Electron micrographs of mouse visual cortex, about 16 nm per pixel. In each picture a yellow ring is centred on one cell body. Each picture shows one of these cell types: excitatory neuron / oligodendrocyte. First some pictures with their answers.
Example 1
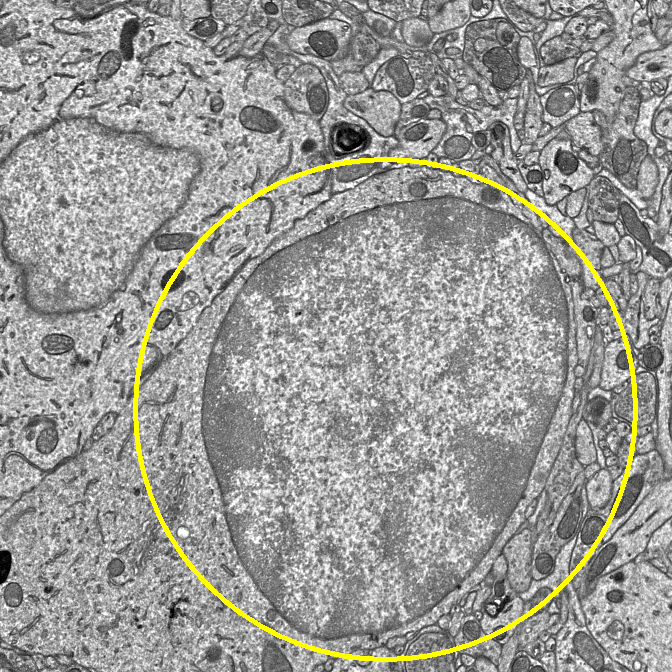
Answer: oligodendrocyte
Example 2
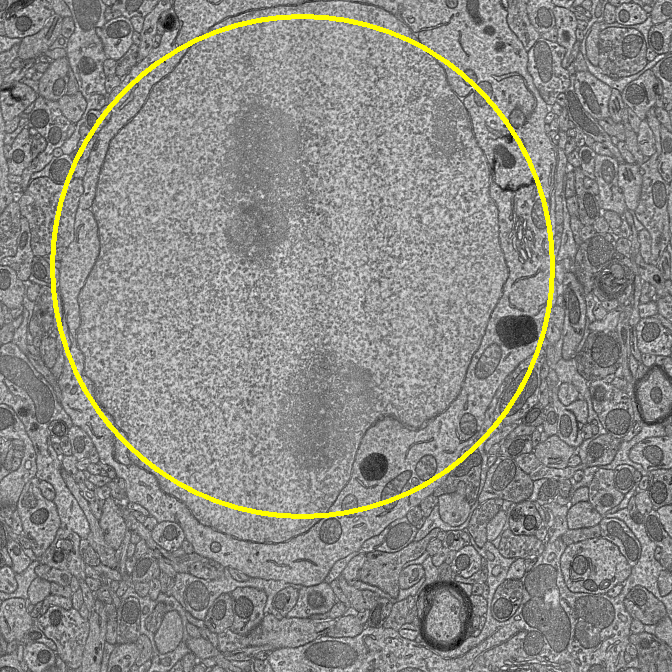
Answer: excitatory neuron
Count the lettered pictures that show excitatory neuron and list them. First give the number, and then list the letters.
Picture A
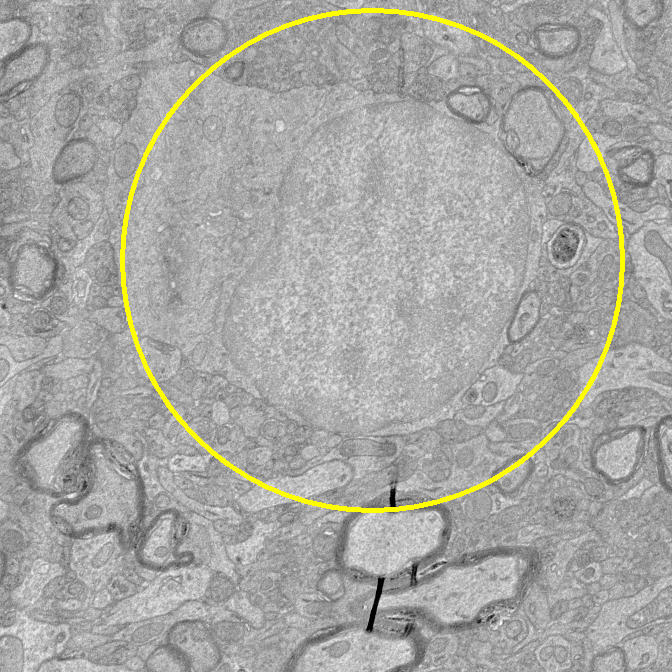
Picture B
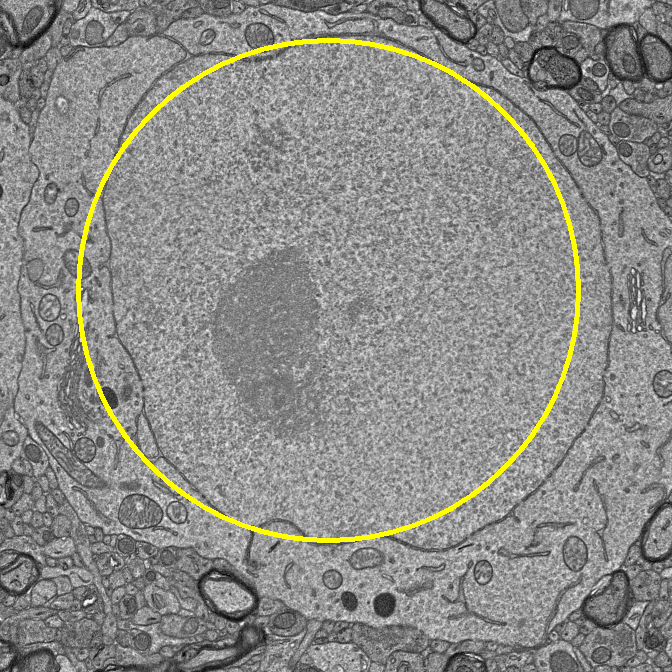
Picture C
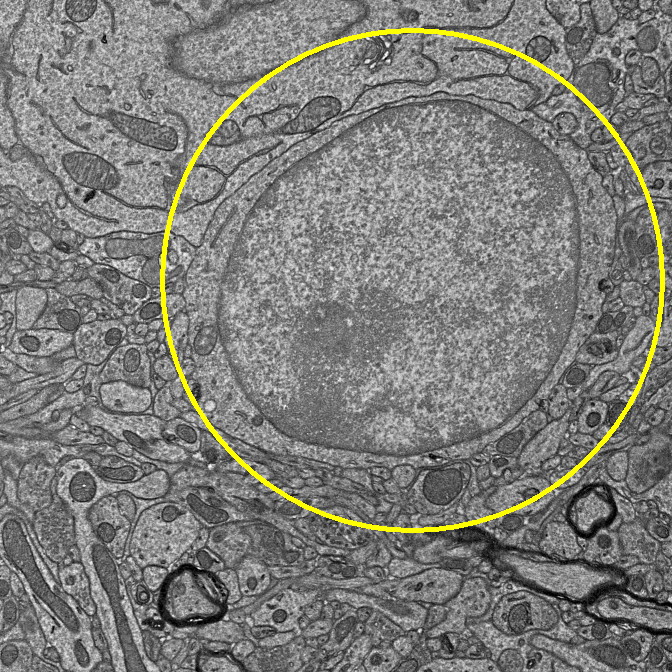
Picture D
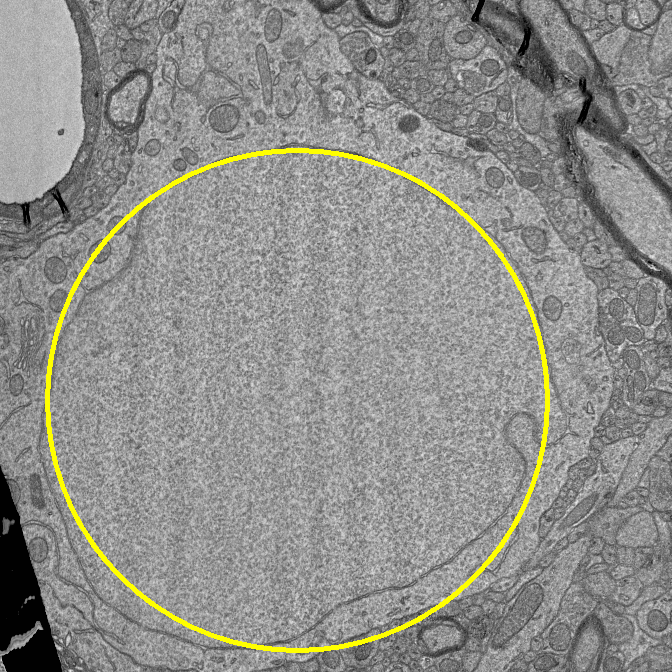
Count: 2 (B, D)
